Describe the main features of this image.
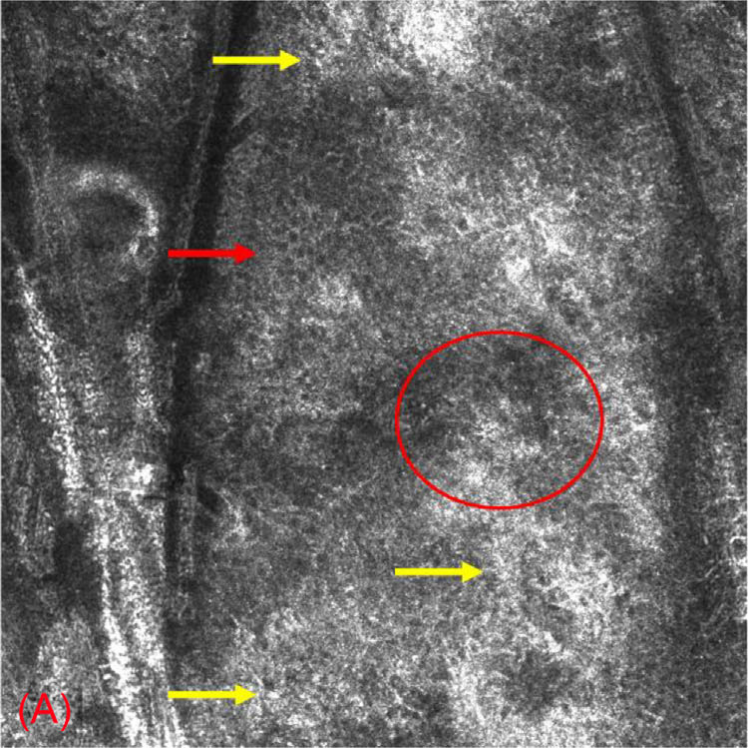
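This is a horizontal grayscale view of skin in which the epidermis shows a fine honeycomb-like mesh of bright cell borders around darker cells. Scattered small, very bright dots lie within this mesh and are read as inflammatory cells. In the middle, bright and dark patches merge without a crisp rim, so the border between epidermis and dermis is not clearly made out. Long dark furrows run vertically along both sides of the field.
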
